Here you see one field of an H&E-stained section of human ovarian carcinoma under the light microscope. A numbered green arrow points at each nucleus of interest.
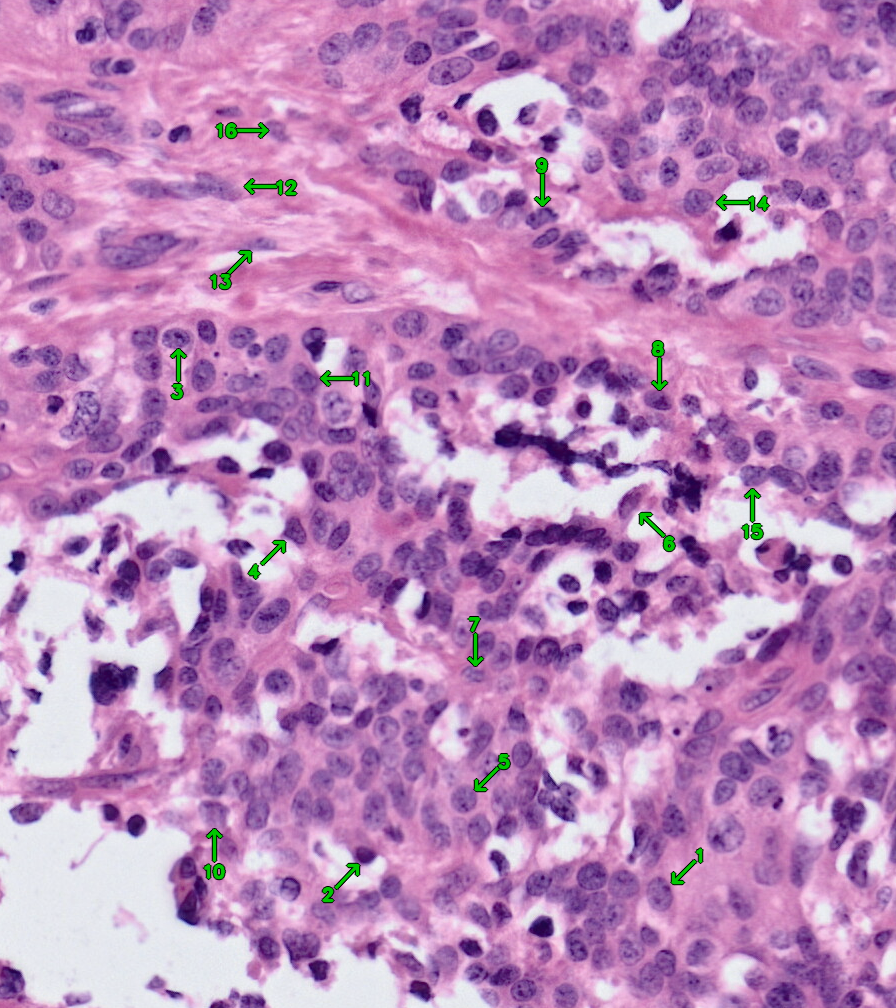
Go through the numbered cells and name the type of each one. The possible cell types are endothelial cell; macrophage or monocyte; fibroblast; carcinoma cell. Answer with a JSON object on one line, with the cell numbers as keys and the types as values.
{"1": "carcinoma cell", "2": "carcinoma cell", "3": "macrophage or monocyte", "4": "carcinoma cell", "5": "carcinoma cell", "6": "carcinoma cell", "7": "endothelial cell", "8": "carcinoma cell", "9": "macrophage or monocyte", "10": "carcinoma cell", "11": "carcinoma cell", "12": "fibroblast", "13": "fibroblast", "14": "carcinoma cell", "15": "macrophage or monocyte", "16": "fibroblast"}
